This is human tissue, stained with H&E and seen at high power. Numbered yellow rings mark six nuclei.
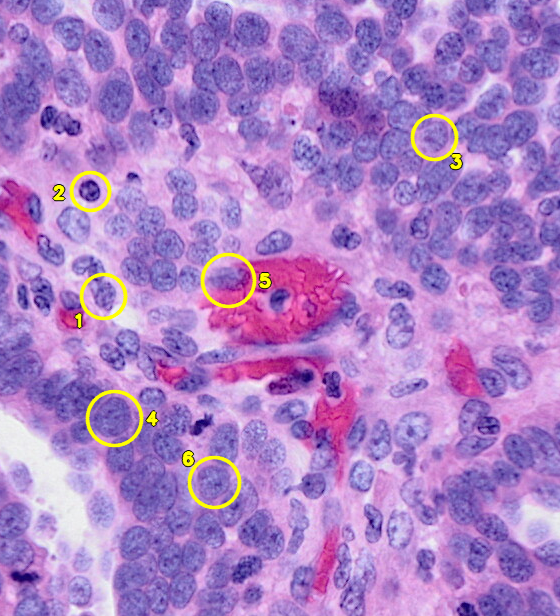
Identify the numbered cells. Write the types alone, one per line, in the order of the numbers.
macrophage or monocyte
lymphocyte
carcinoma cell
carcinoma cell
endothelial cell
carcinoma cell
